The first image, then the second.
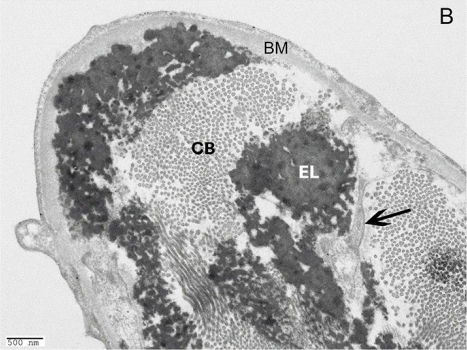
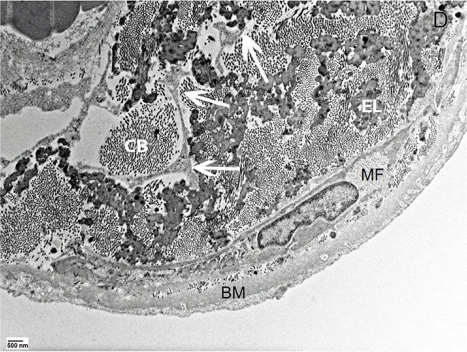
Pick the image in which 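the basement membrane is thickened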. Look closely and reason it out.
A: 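Second image: a broad pale band lies beneath the surface of the tip. First image: the band beneath the surface is thin.
Hence: the second image.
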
